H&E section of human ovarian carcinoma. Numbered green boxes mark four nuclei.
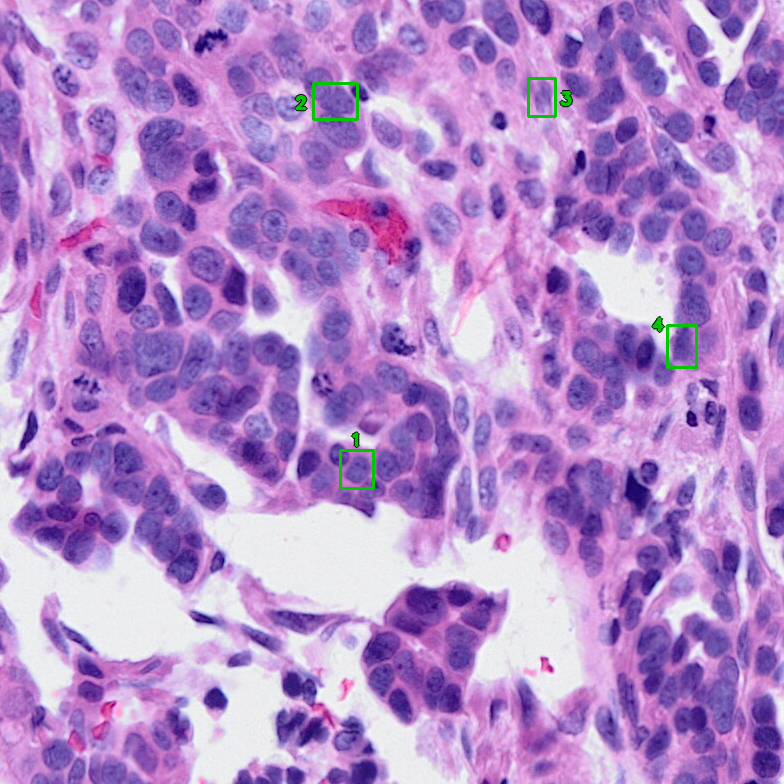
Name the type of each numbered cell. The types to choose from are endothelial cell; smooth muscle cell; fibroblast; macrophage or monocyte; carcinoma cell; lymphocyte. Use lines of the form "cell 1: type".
cell 1: carcinoma cell
cell 2: carcinoma cell
cell 3: fibroblast
cell 4: carcinoma cell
